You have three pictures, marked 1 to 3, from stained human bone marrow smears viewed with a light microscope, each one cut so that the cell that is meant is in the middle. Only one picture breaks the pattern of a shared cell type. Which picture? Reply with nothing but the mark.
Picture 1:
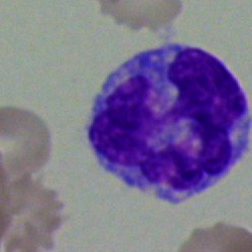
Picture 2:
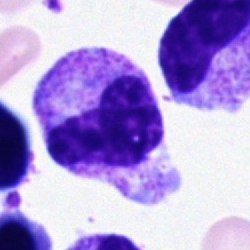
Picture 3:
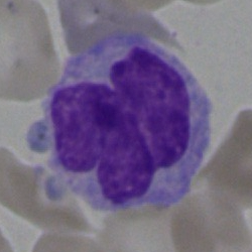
2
